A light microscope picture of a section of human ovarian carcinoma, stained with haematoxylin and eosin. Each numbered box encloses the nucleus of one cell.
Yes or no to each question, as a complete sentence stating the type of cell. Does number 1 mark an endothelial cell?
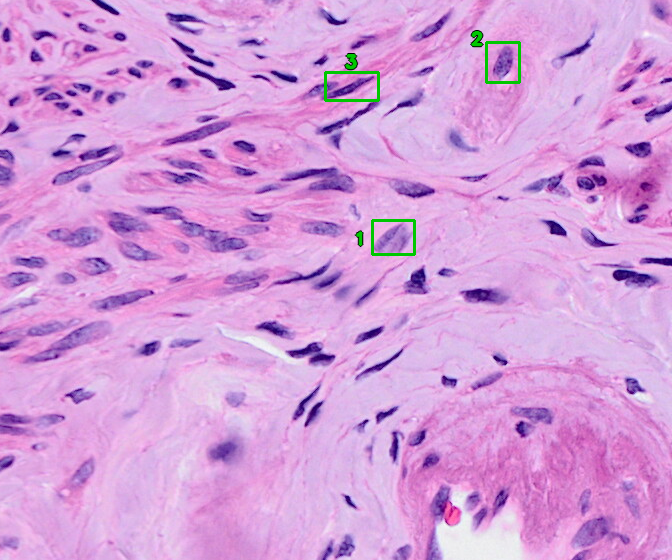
No, cell number 1 is a fibroblast; it is not an endothelial cell.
